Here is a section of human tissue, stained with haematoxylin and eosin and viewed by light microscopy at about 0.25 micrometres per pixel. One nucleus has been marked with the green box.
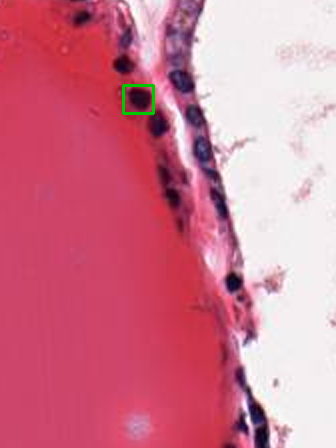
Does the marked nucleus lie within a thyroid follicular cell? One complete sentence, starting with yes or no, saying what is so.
Yes, the marked nucleus is present within a thyroid follicular cell.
